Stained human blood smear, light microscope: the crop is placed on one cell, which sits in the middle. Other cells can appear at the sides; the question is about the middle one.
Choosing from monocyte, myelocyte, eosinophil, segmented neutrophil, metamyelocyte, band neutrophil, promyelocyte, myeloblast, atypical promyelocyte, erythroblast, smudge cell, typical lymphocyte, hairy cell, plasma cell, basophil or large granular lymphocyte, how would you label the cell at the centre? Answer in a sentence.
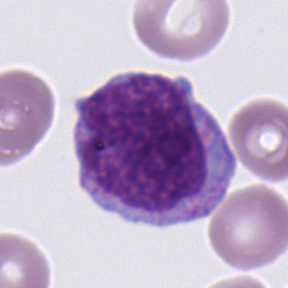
What the crop centres on is an atypical promyelocyte.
